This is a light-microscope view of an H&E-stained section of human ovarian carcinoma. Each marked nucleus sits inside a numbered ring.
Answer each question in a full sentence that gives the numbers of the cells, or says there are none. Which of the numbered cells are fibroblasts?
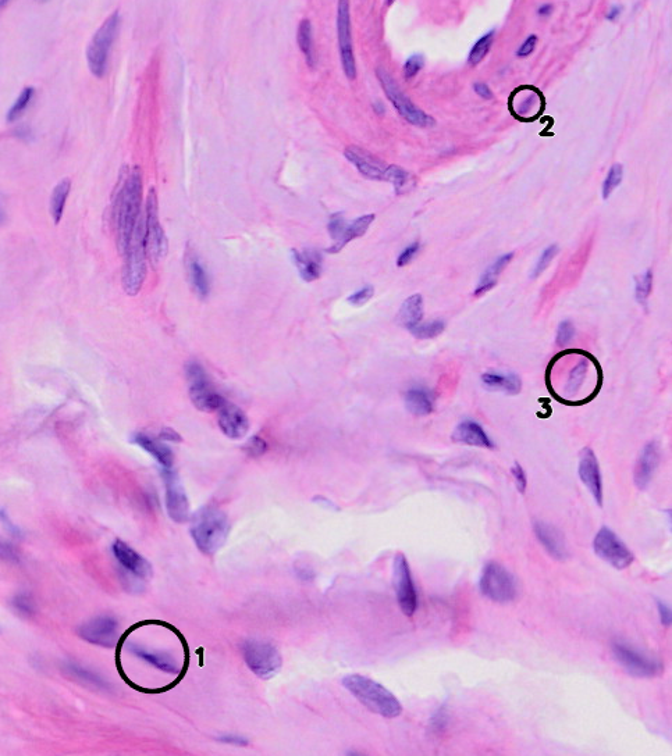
Nothing but cell 1 is a fibroblast among the numbered ones.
